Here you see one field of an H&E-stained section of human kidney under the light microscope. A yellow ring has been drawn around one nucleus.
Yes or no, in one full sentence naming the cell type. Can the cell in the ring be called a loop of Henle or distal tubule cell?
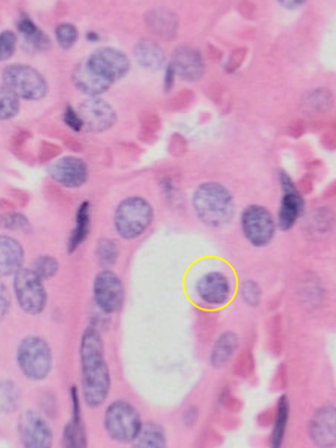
No, the cell in the ring corresponds to a collecting duct cell rather than to a loop of Henle or distal tubule cell.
